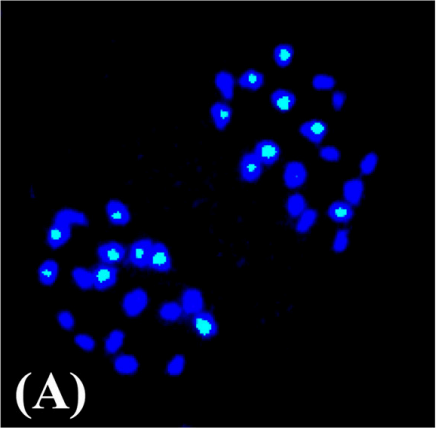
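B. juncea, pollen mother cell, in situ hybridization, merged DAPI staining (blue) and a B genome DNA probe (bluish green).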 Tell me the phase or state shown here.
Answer: Meiotic anaphase I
